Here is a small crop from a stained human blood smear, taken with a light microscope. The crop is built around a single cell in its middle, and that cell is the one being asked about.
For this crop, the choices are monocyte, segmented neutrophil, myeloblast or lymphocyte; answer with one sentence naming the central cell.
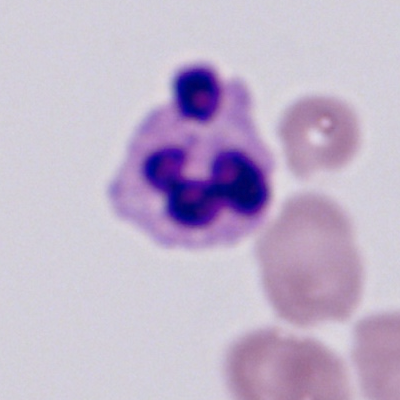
As for the cell in the middle, it is a segmented neutrophil.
